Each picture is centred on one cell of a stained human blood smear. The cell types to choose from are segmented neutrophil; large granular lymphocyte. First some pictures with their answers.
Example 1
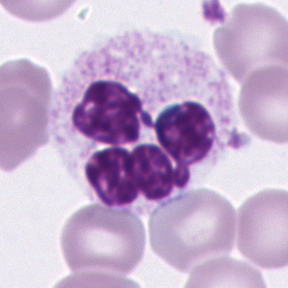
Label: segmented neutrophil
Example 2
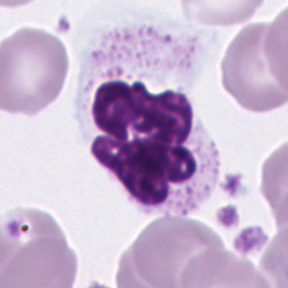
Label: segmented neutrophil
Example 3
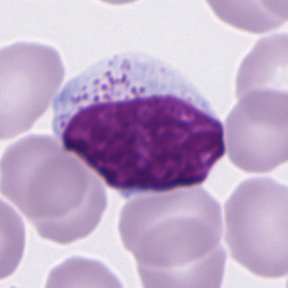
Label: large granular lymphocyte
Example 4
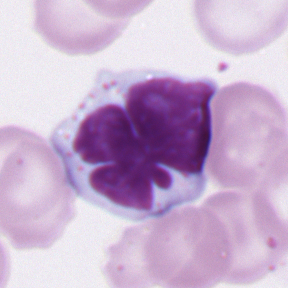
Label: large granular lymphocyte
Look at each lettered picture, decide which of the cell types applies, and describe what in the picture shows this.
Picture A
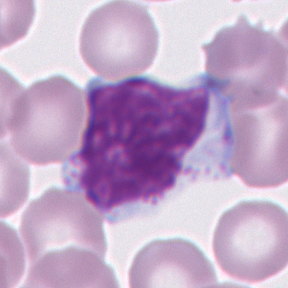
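large granular lymphocyte. Evidence: The cytoplasm forms a scant rim that is widest on the right side of the nucleus.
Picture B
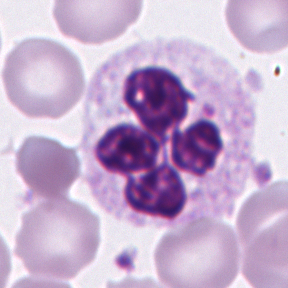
segmented neutrophil. Evidence: The cytoplasm is plentiful and pale pinkish-lilac.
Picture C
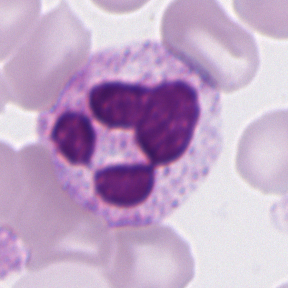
segmented neutrophil. Evidence: Plentiful pale pinkish-lilac cytoplasm surrounds the lobes.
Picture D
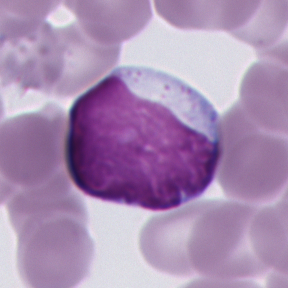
large granular lymphocyte. Evidence: The nucleus fills most of the cell, leaving cytoplasm only as a crescent along the upper right.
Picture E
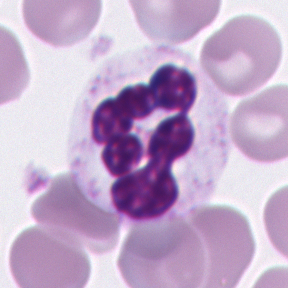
segmented neutrophil. Evidence: The cytoplasm is abundant and pale pinkish-lilac.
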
